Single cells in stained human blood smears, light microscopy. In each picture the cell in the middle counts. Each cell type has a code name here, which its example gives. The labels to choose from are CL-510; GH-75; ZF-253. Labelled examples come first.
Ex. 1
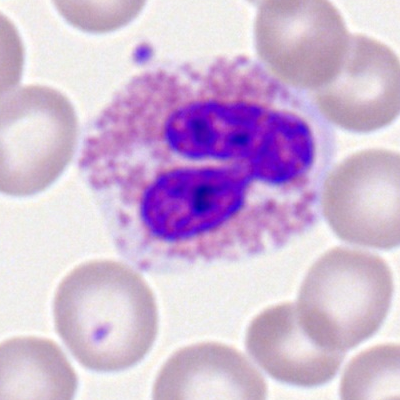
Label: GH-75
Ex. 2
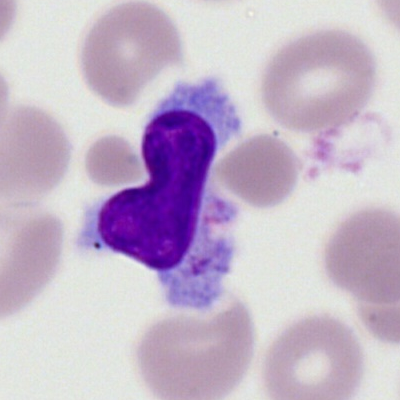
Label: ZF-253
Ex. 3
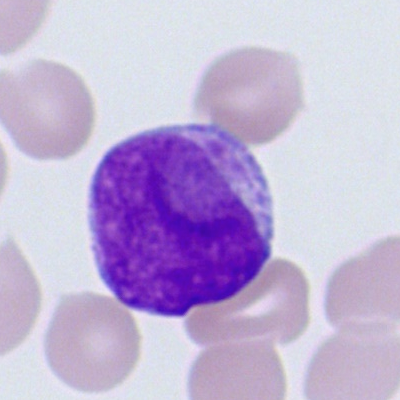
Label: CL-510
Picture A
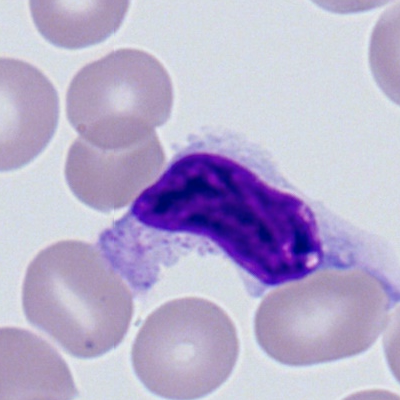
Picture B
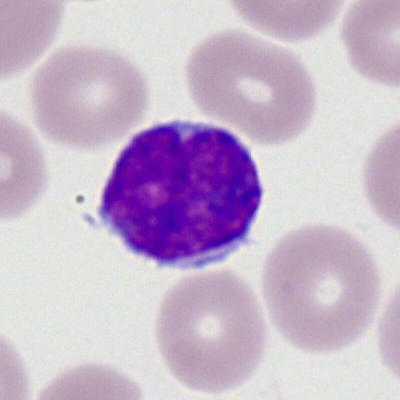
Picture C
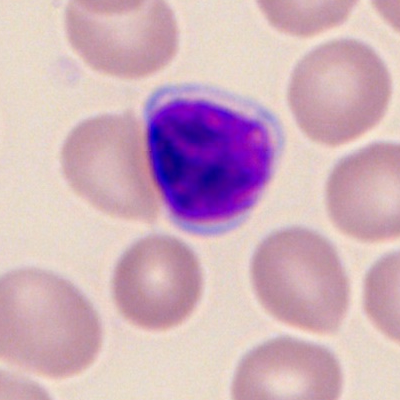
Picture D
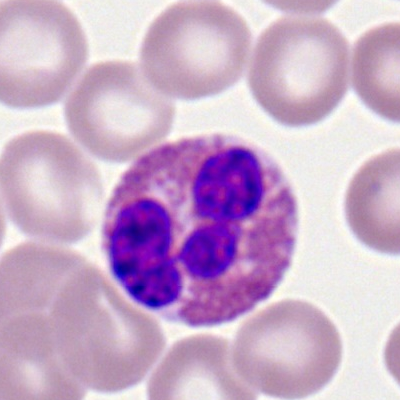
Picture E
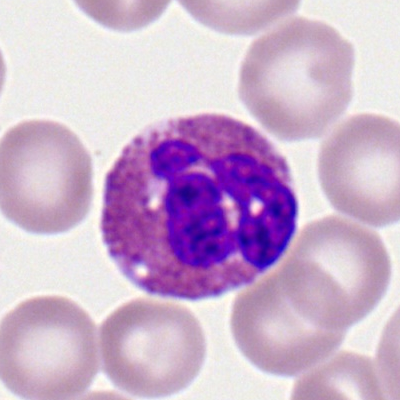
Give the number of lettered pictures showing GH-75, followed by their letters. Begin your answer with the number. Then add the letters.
2, namely D, E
